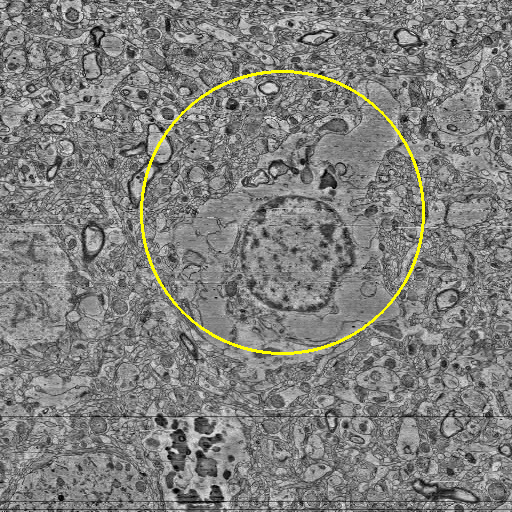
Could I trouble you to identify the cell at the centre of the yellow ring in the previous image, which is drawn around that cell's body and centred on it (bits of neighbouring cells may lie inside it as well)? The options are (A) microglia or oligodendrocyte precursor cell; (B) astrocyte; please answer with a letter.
B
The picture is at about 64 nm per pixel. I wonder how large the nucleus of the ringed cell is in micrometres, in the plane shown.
About 7 micrometers across, in this plane.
